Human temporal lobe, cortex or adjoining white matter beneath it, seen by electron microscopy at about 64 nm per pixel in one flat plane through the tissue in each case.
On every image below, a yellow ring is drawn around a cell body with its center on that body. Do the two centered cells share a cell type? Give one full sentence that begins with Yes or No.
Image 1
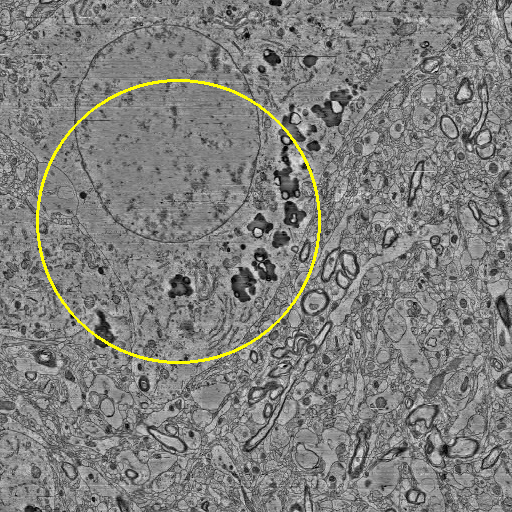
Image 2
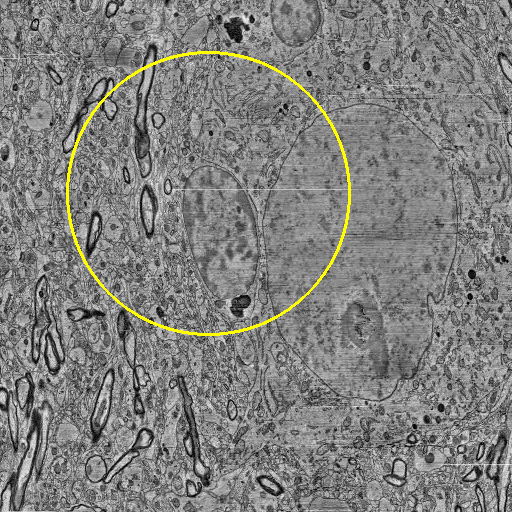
No, the centered cells in the two images are of two separate cell types.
